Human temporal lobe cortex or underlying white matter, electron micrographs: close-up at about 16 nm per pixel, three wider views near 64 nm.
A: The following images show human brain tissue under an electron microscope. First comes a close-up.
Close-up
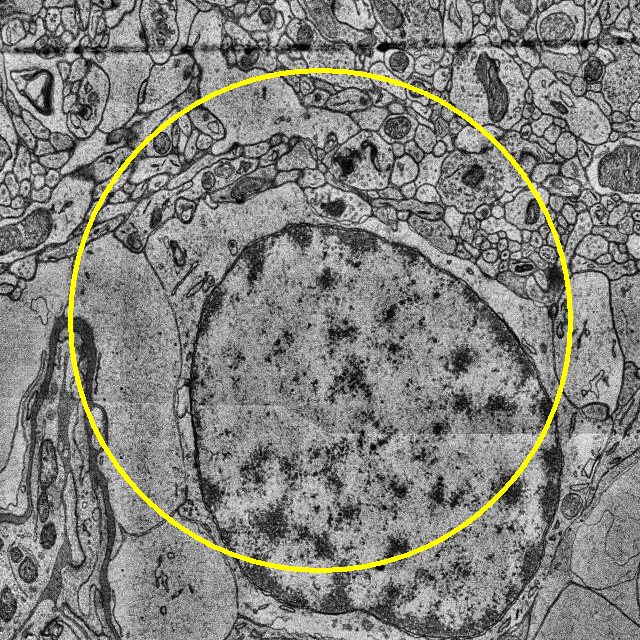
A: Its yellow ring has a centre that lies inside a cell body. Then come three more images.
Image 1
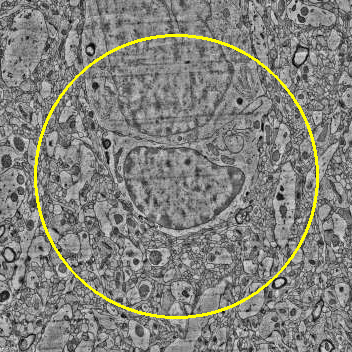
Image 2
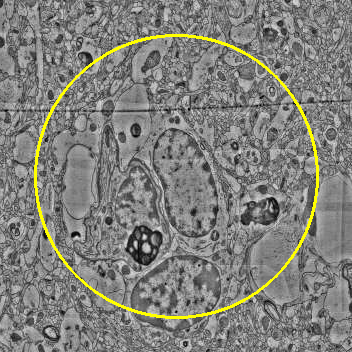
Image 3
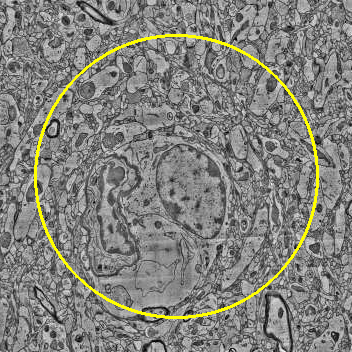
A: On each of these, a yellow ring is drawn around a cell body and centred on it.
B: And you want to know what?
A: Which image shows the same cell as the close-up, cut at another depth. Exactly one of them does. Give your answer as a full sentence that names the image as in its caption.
The close-up matches the cell enclosed by the yellow ring in Image 2.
